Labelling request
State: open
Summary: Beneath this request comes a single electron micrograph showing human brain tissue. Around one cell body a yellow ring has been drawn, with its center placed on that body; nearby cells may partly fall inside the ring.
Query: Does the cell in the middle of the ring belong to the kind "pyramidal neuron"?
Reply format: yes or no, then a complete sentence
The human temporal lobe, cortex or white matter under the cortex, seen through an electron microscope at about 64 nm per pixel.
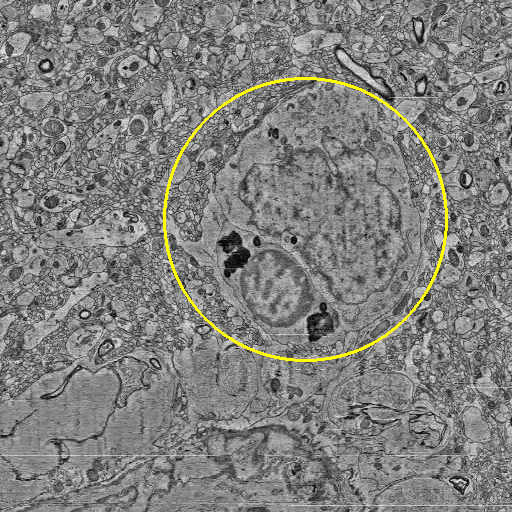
No, the cell sitting at the center of the ring in this picture is of a different kind.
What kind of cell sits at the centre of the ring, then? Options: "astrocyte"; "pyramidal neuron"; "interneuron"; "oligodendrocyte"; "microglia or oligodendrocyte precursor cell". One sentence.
As it turns out, the cell at the ring centre is an interneuron.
